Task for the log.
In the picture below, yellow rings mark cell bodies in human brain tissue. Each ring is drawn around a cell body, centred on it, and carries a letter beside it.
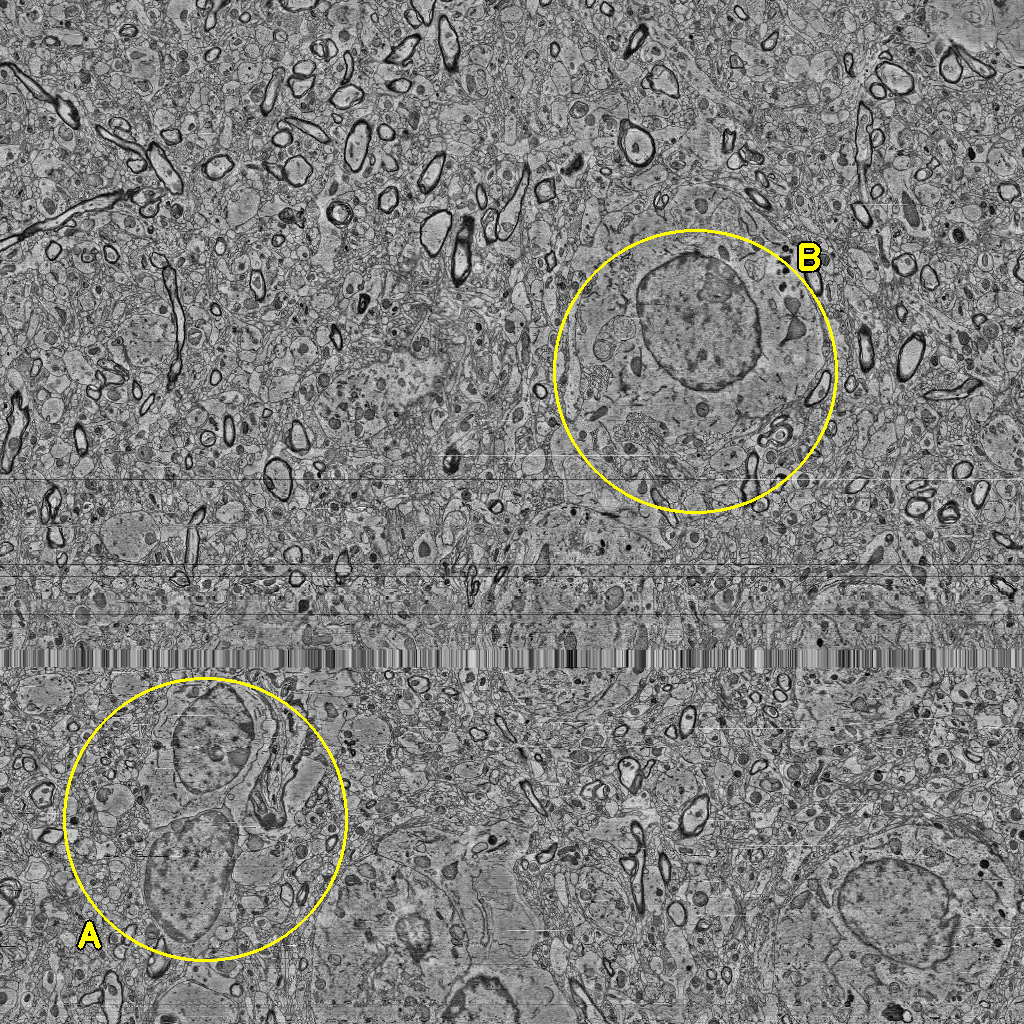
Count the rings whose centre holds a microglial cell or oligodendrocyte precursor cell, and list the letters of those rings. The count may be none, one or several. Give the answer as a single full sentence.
In this electron micrograph, no ring is centred on a microglial cell or oligodendrocyte precursor cell, so the count is zero.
